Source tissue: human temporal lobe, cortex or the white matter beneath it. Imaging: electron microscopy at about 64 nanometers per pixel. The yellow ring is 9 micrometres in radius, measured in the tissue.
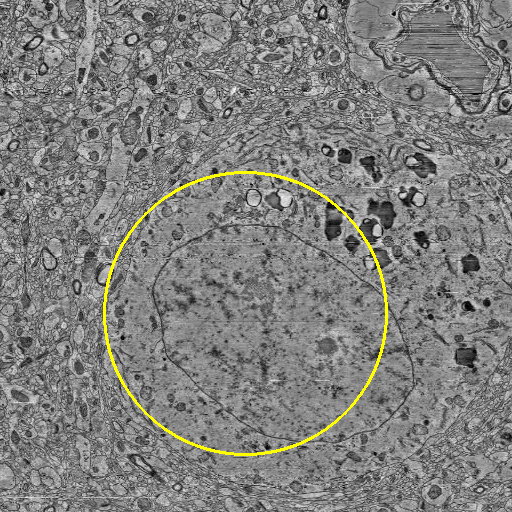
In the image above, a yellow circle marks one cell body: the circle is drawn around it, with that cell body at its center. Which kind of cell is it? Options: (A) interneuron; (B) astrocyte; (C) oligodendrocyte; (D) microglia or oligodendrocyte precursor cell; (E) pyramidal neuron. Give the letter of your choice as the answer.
E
